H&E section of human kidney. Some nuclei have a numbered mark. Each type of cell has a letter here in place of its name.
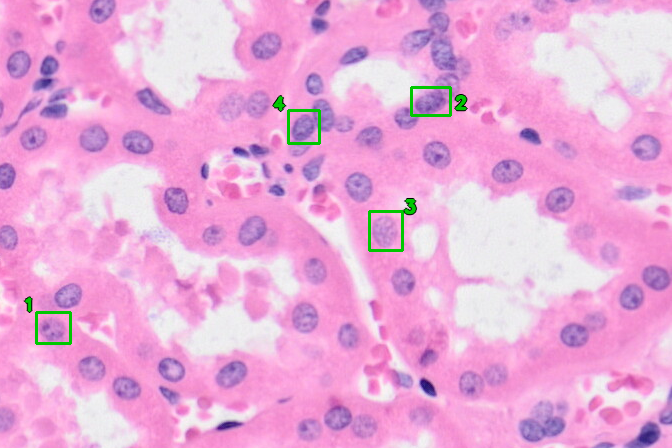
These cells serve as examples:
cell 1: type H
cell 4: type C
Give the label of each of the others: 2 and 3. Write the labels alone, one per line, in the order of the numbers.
type C
type H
